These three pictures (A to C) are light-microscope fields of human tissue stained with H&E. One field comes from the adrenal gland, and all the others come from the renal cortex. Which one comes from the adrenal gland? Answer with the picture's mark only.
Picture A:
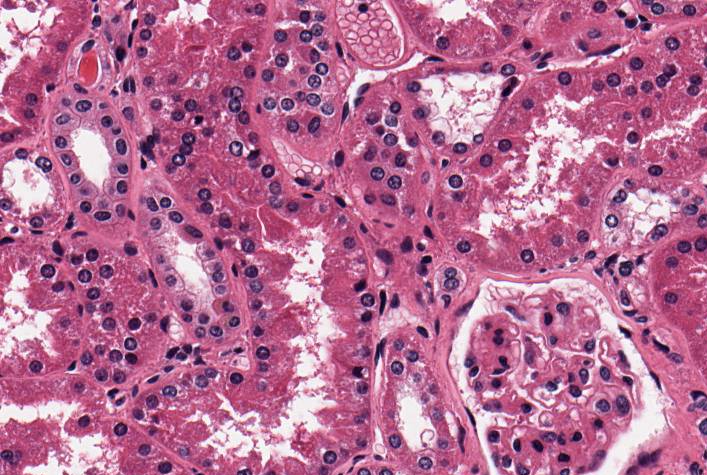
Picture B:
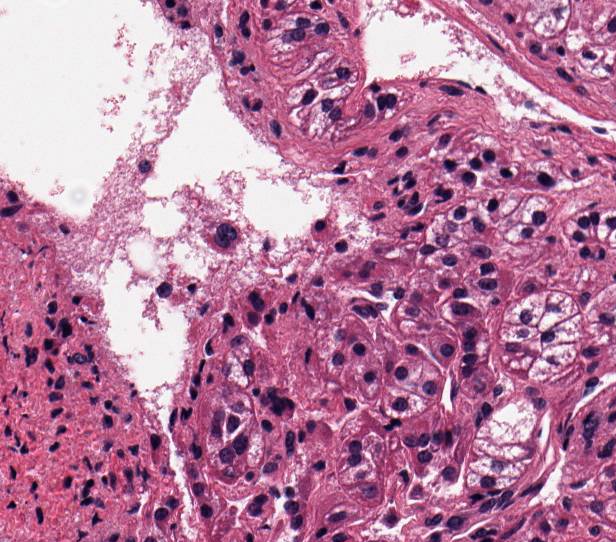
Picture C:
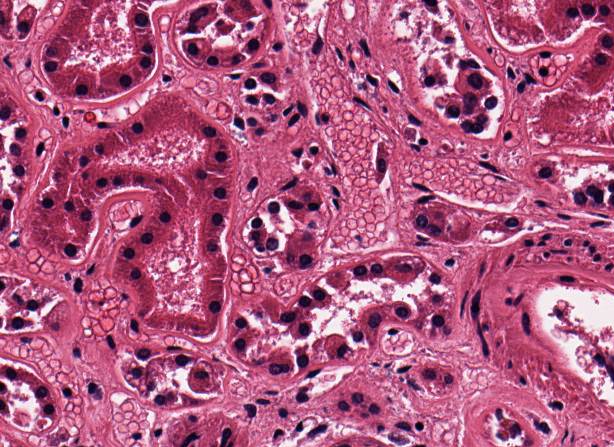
B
